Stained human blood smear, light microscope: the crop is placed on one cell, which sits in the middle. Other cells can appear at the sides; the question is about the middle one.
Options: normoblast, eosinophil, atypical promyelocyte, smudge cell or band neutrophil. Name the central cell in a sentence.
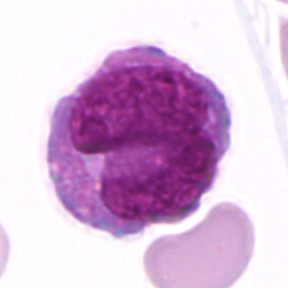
The cell at the central position in this crop is an atypical promyelocyte.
